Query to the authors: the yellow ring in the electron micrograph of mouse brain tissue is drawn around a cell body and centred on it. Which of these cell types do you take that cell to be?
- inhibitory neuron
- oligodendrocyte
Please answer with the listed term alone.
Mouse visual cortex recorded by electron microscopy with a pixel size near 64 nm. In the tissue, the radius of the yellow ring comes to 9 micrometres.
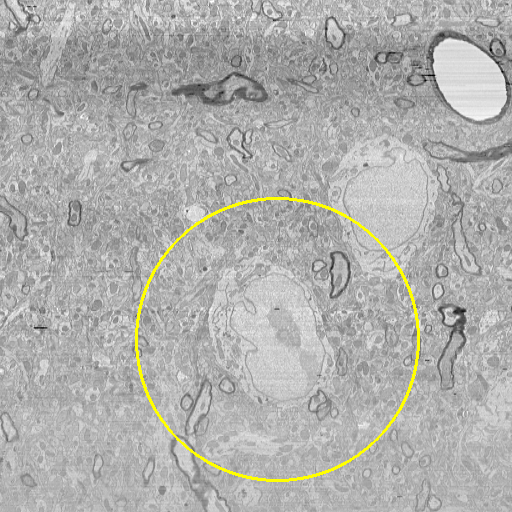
inhibitory neuron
